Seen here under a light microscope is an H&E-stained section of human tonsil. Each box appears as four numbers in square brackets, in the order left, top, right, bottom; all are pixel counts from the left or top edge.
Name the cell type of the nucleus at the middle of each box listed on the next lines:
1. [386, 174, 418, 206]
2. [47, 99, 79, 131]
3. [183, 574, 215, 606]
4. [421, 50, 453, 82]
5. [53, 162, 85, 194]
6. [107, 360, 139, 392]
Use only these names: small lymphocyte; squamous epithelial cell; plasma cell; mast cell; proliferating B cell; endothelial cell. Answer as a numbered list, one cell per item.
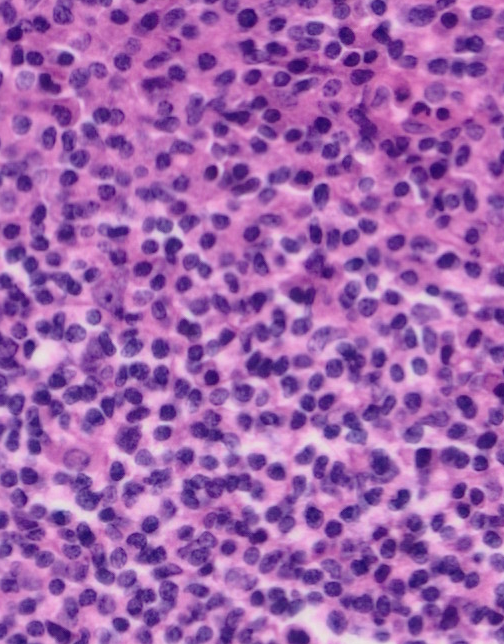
1. plasma cell
2. plasma cell
3. small lymphocyte
4. plasma cell
5. plasma cell
6. small lymphocyte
